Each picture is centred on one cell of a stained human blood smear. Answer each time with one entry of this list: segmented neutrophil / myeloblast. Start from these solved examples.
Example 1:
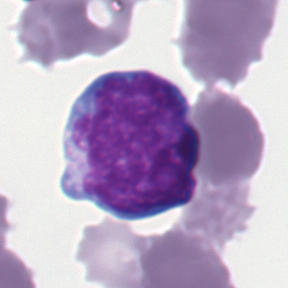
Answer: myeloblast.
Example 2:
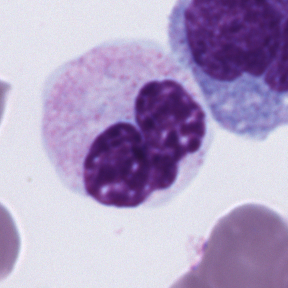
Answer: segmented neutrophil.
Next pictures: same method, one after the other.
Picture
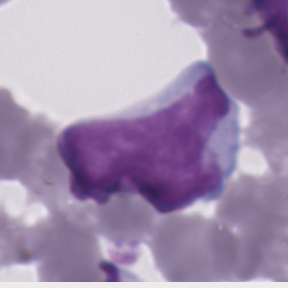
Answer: myeloblast.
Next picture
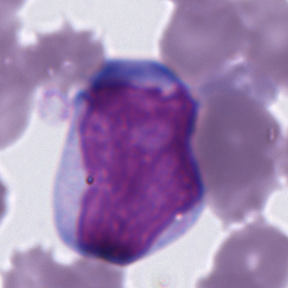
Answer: myeloblast.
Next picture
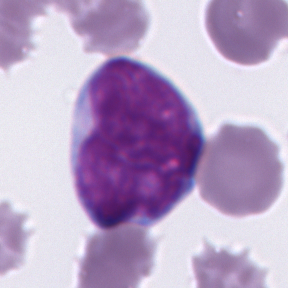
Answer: myeloblast.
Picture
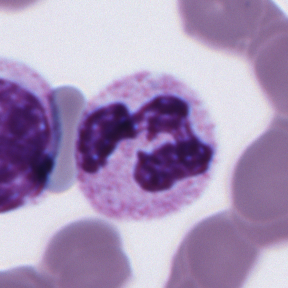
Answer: segmented neutrophil.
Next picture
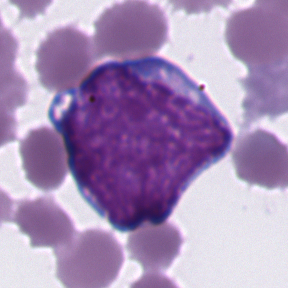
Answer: myeloblast.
